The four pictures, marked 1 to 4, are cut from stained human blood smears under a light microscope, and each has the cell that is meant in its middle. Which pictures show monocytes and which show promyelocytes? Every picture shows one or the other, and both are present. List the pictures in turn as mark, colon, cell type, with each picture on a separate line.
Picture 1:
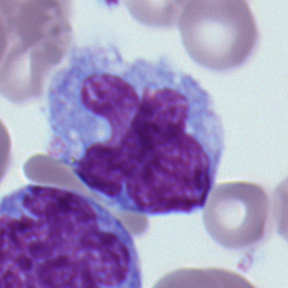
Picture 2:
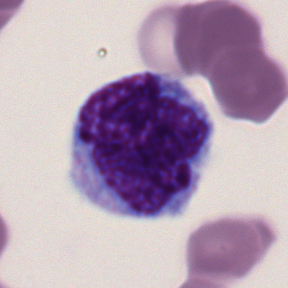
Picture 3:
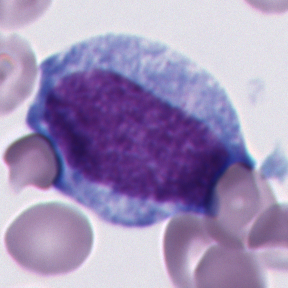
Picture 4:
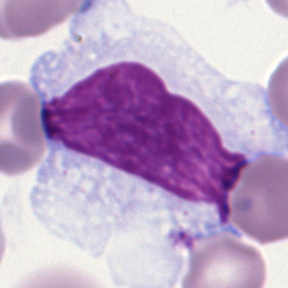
1: monocyte
2: monocyte
3: promyelocyte
4: monocyte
